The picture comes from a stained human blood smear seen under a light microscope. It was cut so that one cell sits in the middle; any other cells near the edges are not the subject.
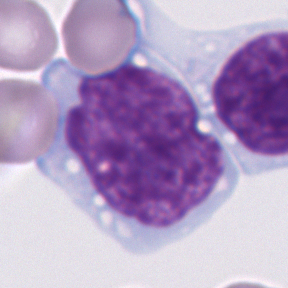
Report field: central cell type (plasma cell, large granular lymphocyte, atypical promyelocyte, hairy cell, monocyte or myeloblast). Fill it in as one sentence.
The central cell, amid any neighbouring cells, is a myeloblast.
